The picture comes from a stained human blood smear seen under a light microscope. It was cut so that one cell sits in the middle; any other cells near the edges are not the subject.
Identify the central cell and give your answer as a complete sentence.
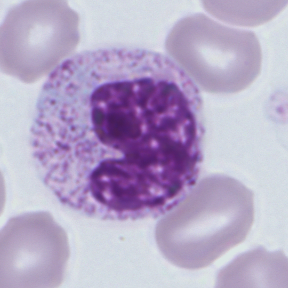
The cell found in the middle of this crop is a metamyelocyte.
